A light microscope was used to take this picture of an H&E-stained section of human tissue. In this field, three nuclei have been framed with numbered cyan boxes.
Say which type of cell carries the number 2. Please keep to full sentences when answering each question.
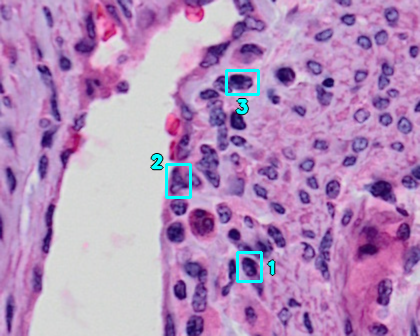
The cell identified by number 2 is an endothelial cell.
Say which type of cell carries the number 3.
As for number 3, that cell is a lymphocyte.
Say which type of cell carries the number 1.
Classified as a lymphocyte is the cell with the number 1.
